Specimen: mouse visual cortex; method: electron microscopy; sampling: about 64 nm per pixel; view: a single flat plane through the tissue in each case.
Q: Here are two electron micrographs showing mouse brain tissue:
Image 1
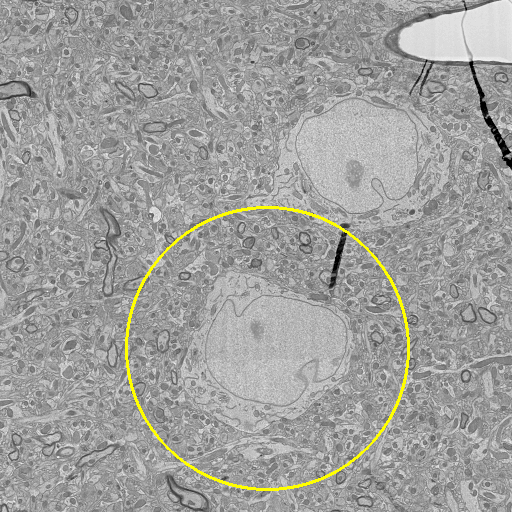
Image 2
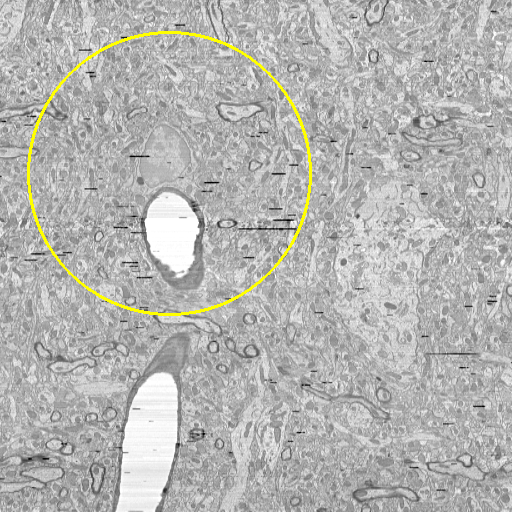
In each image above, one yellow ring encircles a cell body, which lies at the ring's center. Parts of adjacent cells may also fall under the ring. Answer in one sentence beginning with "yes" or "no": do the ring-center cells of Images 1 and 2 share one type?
No, in Images 1 and 2, the ring-center cells are of two types.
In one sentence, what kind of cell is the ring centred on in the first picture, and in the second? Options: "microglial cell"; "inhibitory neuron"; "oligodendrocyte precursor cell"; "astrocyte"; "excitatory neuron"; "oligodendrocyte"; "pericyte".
The cell at the centre of the second ring is a microglial cell; the first ring's cell is an excitatory neuron.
